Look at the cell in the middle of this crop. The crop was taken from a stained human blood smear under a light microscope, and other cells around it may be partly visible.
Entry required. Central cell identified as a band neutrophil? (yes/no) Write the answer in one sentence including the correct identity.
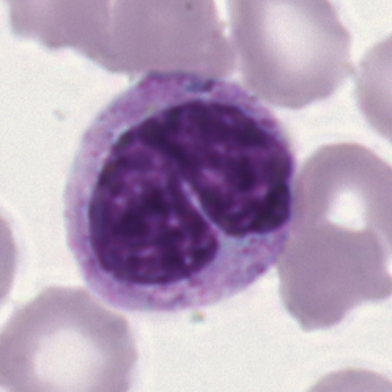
Yes, shown in the middle of the crop is a band neutrophil.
